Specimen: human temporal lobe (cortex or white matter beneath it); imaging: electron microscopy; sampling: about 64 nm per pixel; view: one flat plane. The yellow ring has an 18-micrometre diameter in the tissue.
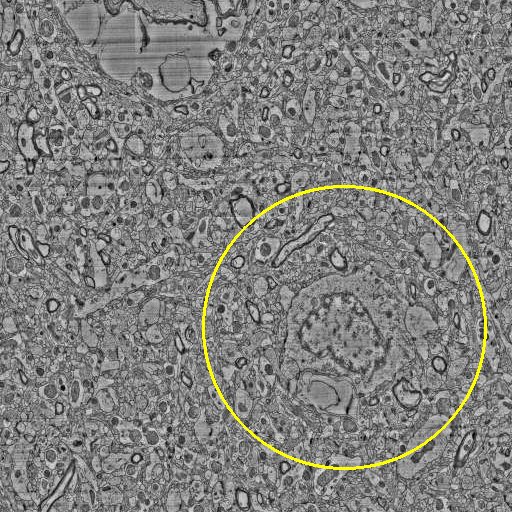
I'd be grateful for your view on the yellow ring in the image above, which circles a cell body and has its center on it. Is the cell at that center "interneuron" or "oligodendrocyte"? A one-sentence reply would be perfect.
The cell at the center of the yellow ring is an interneuron.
